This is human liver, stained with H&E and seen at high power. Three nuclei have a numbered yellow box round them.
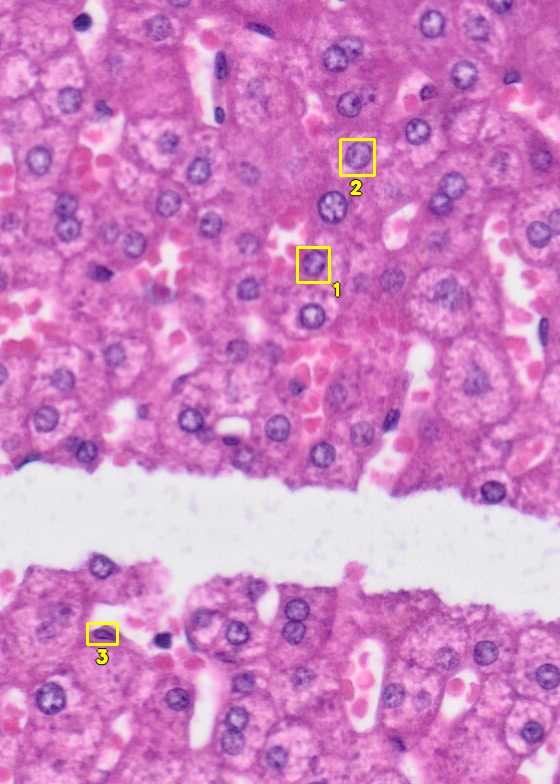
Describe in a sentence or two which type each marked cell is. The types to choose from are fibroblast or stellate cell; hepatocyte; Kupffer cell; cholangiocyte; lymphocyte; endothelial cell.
Cell 1 is a hepatocyte, cell 2 is a hepatocyte and cell 3 is a Kupffer cell.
